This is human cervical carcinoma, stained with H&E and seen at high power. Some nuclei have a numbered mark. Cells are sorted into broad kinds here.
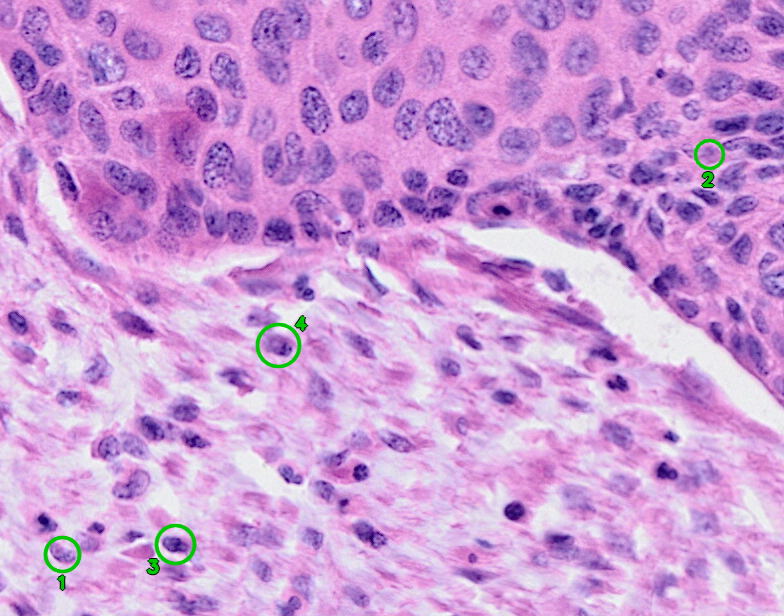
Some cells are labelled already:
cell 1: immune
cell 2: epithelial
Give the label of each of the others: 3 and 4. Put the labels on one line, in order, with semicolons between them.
immune; immune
